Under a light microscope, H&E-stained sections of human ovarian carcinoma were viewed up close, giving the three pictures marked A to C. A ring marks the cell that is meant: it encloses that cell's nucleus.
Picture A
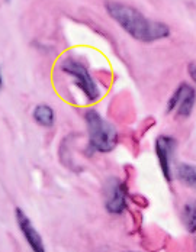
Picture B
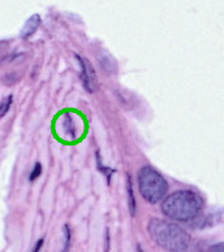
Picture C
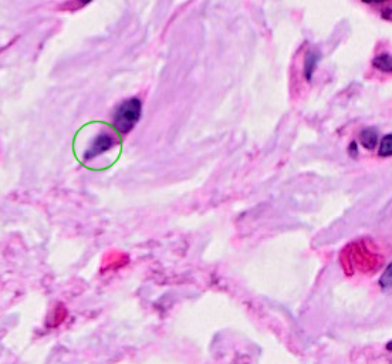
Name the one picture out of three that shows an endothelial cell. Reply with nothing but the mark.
A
